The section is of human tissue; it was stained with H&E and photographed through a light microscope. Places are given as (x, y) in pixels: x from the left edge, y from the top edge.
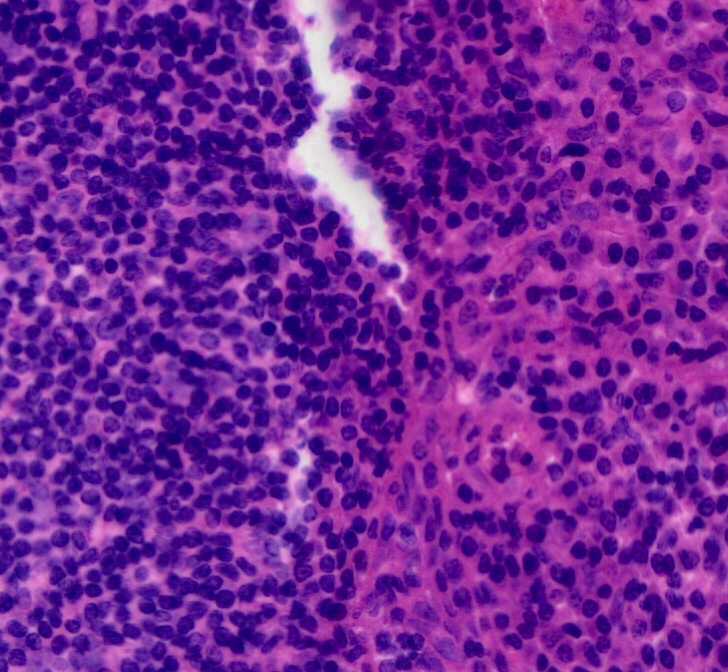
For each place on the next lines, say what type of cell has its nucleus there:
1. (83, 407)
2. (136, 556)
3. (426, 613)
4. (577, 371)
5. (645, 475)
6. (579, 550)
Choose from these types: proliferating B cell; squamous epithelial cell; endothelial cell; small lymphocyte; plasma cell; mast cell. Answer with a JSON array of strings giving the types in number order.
["small lymphocyte", "small lymphocyte", "squamous epithelial cell", "plasma cell", "plasma cell", "plasma cell"]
